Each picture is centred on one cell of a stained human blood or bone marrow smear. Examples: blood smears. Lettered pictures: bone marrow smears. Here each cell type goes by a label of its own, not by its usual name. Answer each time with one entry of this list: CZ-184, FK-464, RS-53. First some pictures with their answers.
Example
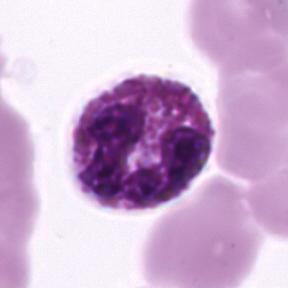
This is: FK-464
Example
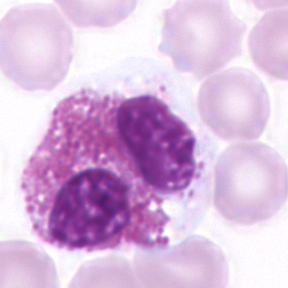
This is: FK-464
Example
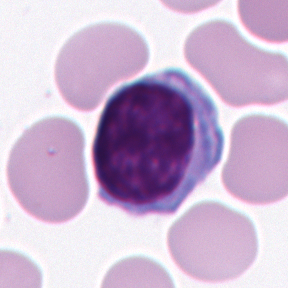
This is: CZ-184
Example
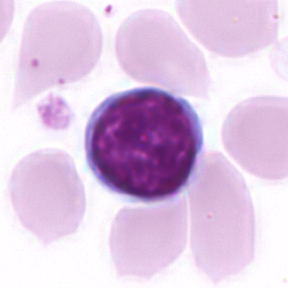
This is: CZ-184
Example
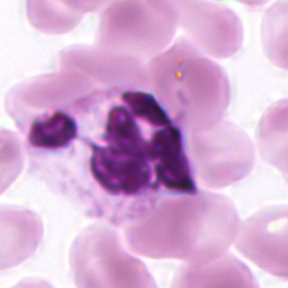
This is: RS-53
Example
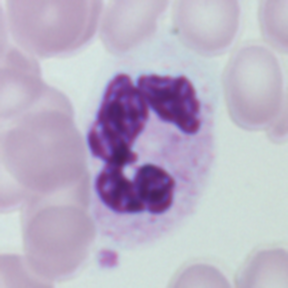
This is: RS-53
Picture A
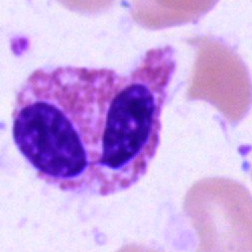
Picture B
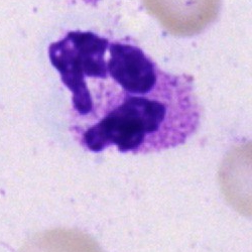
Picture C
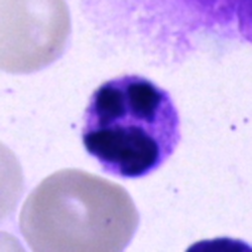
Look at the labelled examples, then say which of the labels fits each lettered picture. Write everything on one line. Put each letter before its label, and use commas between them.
A FK-464, B RS-53, C RS-53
